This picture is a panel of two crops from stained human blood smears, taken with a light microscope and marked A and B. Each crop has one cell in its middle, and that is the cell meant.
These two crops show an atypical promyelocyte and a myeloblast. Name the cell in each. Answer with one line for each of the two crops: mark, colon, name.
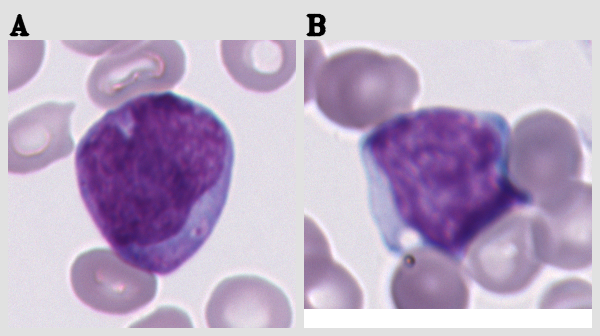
A: atypical promyelocyte
B: myeloblast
